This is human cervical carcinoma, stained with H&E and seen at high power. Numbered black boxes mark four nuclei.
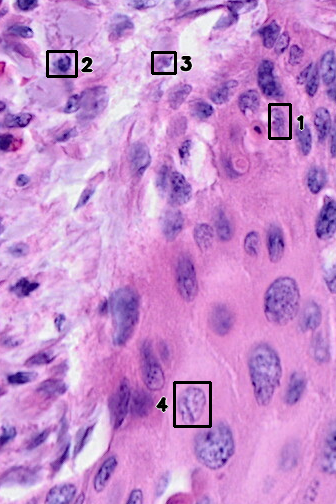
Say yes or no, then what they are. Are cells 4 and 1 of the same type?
Yes, each of the two cells, 4 and 1, is among the squamous carcinoma cells.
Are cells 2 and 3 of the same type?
No, the cell bearing number 2 is a lymphocyte, while the one bearing number 3 is a fibroblast.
